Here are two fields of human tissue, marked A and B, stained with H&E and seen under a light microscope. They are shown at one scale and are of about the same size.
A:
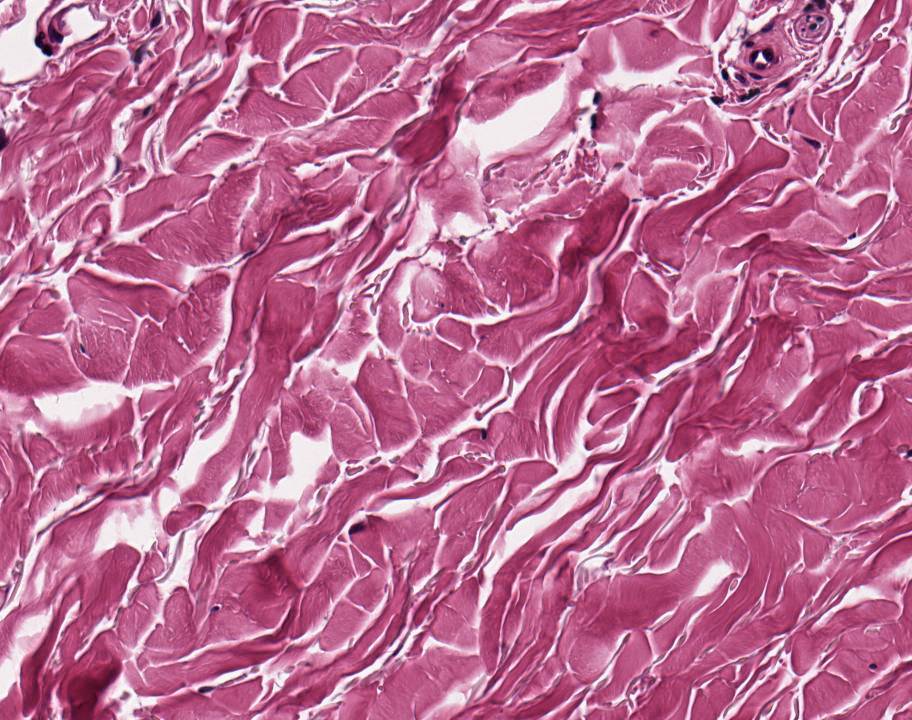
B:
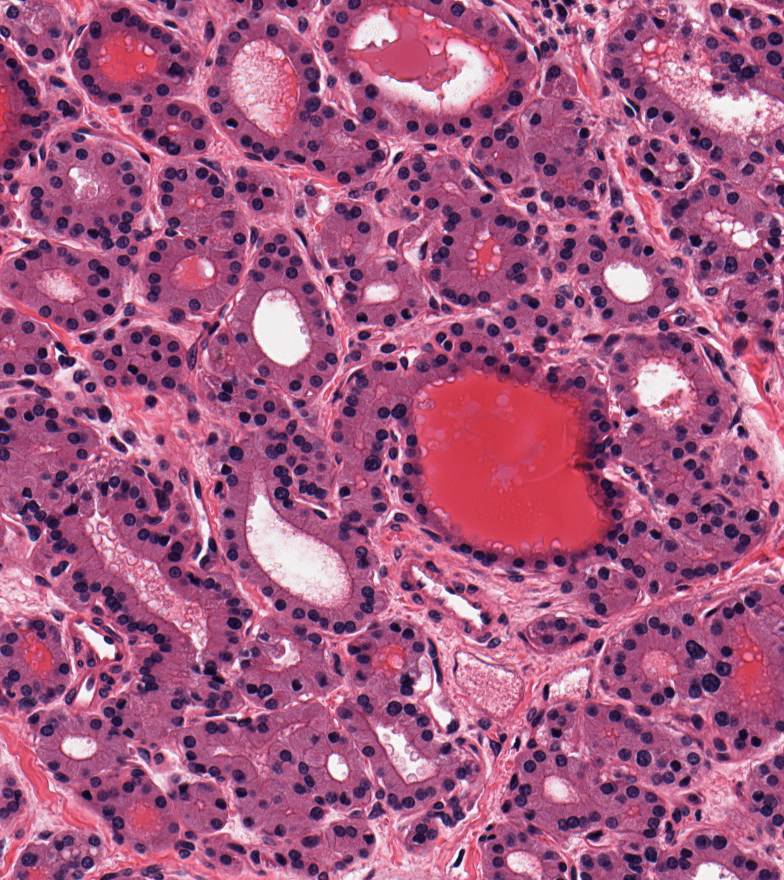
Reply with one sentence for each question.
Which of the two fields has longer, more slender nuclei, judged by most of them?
It is field A whose nuclei are the more elongated.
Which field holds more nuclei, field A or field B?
The larger number of nuclei is in field B.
